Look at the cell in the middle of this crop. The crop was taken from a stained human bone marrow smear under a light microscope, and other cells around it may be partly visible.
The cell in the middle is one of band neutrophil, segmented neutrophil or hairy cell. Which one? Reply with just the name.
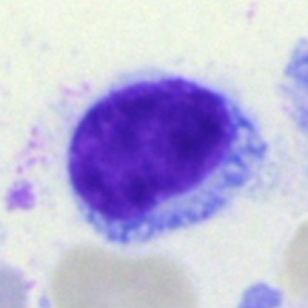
hairy cell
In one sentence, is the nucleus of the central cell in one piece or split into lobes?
The cell carries one compact nucleus shaped round, oval or like a kidney.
